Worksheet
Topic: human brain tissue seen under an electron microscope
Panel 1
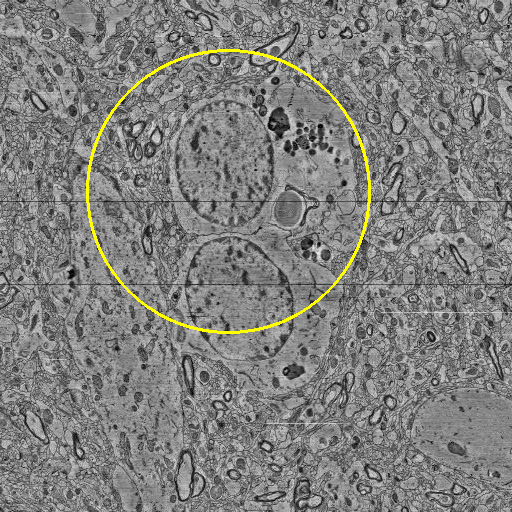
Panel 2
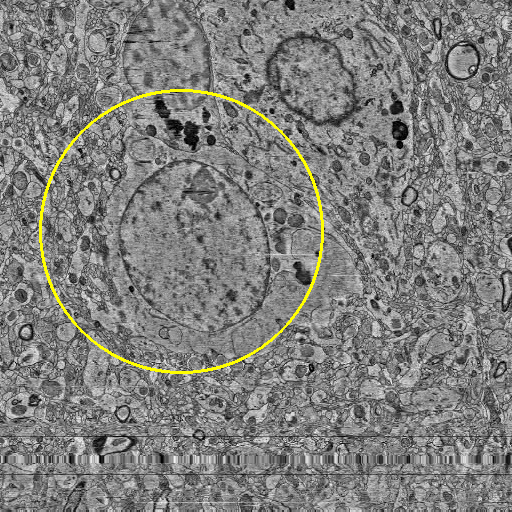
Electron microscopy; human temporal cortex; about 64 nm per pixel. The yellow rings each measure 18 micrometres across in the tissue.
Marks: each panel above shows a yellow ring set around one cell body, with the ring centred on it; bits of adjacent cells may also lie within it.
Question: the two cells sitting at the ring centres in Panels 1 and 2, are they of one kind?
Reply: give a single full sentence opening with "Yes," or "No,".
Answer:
Yes, the two ring-centre cells in Panel 1 and Panel 2 are of one kind.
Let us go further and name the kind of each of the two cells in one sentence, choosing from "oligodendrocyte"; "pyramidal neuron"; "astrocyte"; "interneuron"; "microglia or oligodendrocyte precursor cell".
Both rings mark an astrocyte, one in each picture.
